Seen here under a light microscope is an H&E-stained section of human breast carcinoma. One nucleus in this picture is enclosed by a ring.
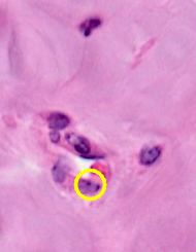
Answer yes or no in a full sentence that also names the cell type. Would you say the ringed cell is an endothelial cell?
Yes, put very simply, the ringed cell is an endothelial cell.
